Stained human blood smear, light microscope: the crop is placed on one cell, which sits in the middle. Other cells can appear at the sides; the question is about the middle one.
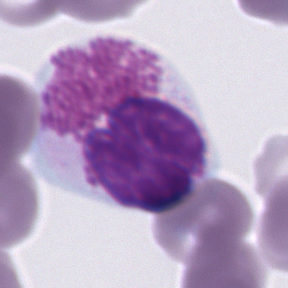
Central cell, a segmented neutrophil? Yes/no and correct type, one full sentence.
No, the central cell is classed as an eosinophil and not as a segmented neutrophil.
